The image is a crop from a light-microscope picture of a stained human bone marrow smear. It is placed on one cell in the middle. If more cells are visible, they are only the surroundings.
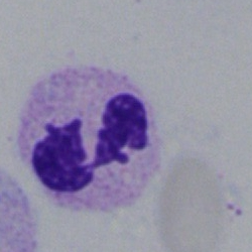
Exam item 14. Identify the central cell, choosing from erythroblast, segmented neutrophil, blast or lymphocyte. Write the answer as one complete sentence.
The cell featured at the centre of this crop is a segmented neutrophil.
